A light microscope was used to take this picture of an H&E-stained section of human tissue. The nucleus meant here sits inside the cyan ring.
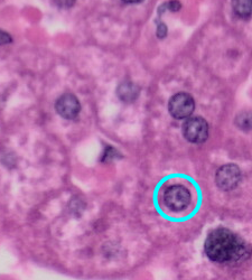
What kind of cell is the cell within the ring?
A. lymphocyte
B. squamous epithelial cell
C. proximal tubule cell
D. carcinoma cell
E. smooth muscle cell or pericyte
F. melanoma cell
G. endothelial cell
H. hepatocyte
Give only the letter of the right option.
H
